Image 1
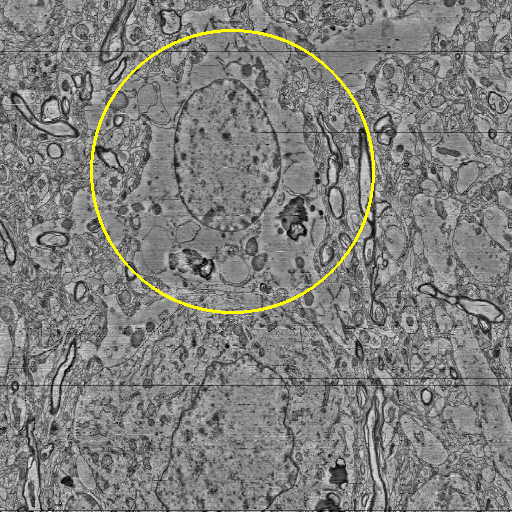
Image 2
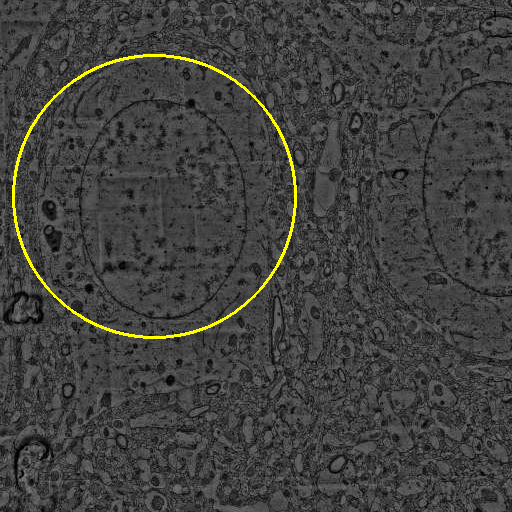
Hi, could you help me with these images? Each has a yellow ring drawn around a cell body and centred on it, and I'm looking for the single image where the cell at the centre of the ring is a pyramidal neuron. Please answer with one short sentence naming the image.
It is Image 2 that has it at the centre of its ring.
